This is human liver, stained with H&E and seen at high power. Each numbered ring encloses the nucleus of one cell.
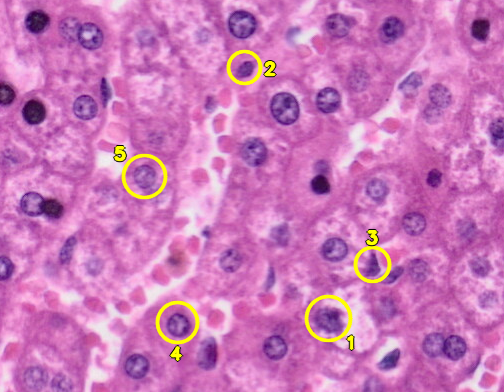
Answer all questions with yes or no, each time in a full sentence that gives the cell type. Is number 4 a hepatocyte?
Yes, the cell that is numbered 4 is a hepatocyte.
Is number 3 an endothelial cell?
Yes, number 3 marks a cell that is an endothelial cell.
